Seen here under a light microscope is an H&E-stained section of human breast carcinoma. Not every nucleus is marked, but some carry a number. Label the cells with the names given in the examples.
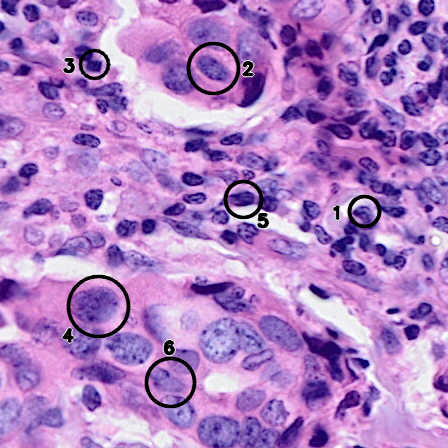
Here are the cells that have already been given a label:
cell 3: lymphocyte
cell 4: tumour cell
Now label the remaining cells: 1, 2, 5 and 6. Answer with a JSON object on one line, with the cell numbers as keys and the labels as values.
{"1": "lymphocyte", "2": "tumour cell", "5": "lymphocyte", "6": "tumour cell"}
